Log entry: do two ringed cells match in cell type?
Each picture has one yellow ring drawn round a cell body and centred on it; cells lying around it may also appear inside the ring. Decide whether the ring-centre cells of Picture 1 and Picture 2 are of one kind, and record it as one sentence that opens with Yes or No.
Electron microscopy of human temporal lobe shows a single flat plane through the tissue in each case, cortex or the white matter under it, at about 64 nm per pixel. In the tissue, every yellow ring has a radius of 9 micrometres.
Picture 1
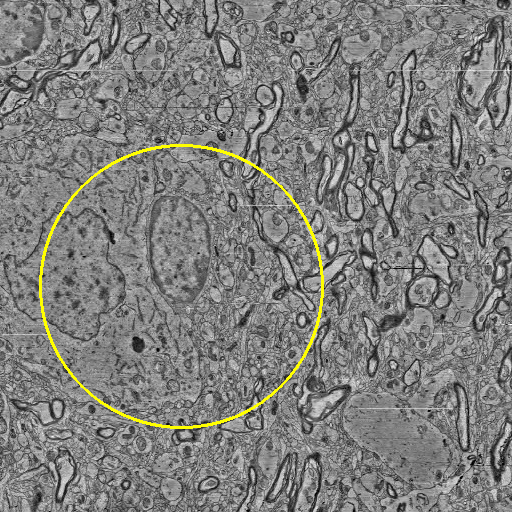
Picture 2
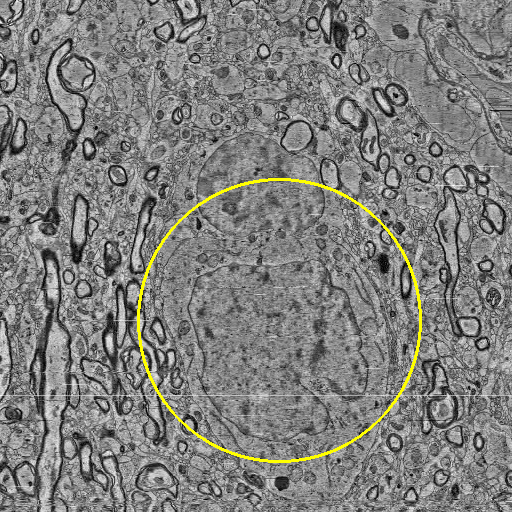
No, the cells at the ring centres of the two pictures belong to two kinds.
